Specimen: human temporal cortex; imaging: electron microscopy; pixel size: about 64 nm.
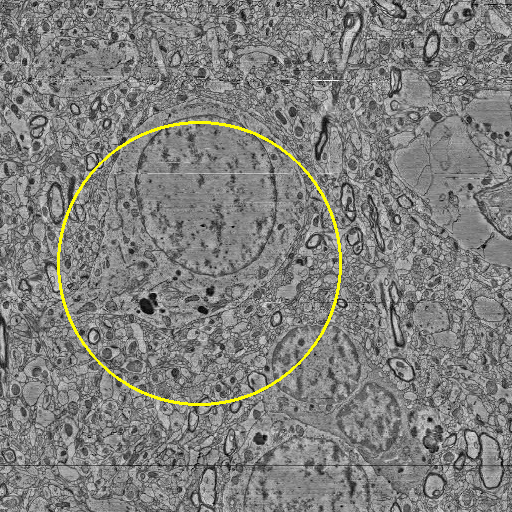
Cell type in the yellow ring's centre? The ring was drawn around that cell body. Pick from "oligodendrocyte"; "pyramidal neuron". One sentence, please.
The ringed cell body is that of a pyramidal neuron.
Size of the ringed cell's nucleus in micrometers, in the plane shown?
In this plane the nucleus is about 11 micrometres by 9.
